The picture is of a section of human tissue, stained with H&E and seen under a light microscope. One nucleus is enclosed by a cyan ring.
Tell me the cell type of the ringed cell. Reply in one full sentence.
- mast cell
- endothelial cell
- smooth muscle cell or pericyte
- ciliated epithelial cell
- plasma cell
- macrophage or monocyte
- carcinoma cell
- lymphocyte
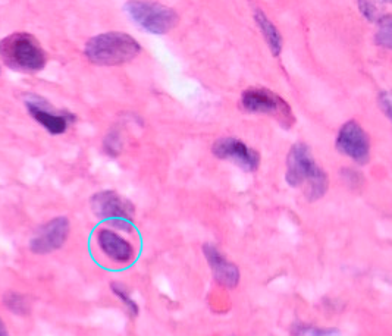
Speaking plainly, the ringed cell is nothing other than a mast cell.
